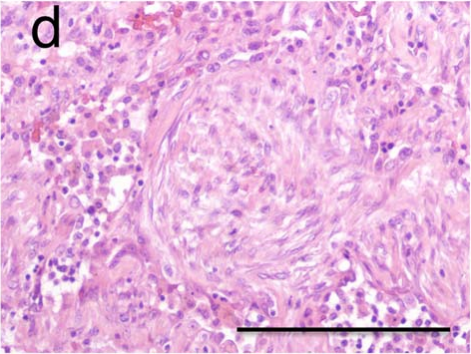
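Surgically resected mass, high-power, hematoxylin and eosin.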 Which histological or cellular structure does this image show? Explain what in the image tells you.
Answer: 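Whorl. Elongated cells wrap concentrically around a central point in the middle of the field. Pink cytoplasm and elongated nuclei follow the circular course.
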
